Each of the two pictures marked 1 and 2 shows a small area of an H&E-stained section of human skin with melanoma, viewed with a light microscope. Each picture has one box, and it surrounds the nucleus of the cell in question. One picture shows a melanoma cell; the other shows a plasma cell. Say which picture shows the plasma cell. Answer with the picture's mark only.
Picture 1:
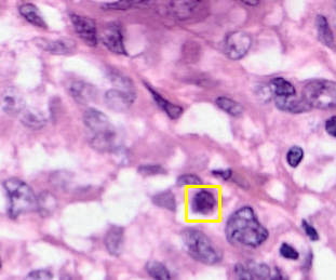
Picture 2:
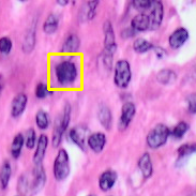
2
